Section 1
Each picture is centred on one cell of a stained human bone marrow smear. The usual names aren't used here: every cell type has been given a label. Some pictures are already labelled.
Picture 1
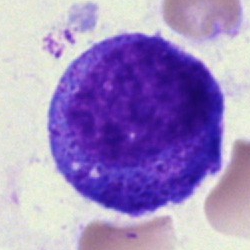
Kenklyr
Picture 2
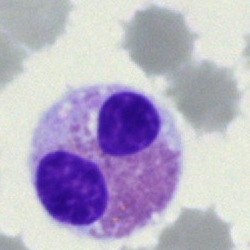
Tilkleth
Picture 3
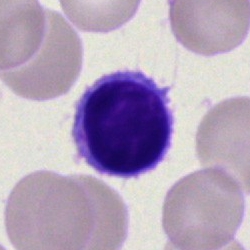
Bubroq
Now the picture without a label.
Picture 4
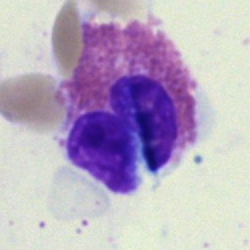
Tilkleth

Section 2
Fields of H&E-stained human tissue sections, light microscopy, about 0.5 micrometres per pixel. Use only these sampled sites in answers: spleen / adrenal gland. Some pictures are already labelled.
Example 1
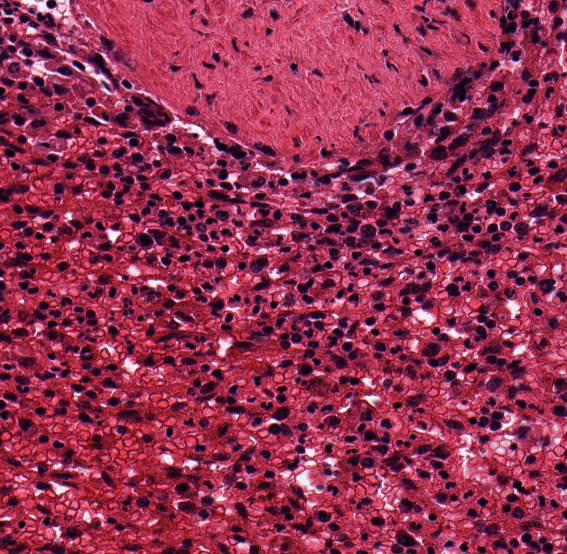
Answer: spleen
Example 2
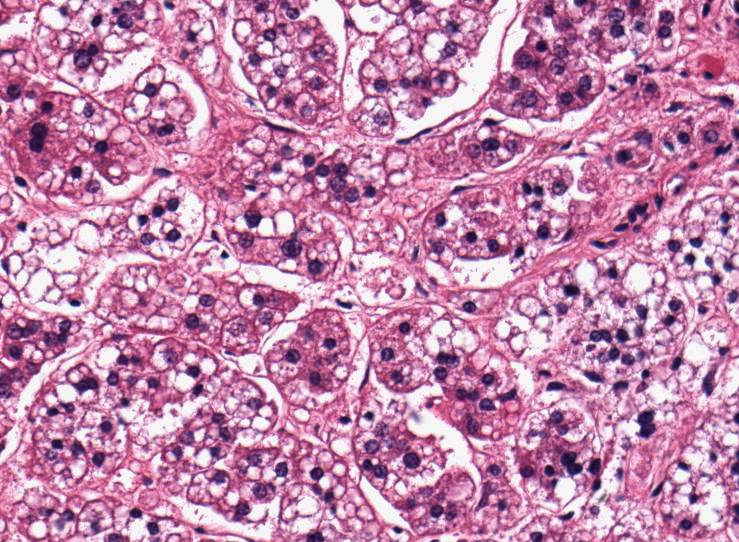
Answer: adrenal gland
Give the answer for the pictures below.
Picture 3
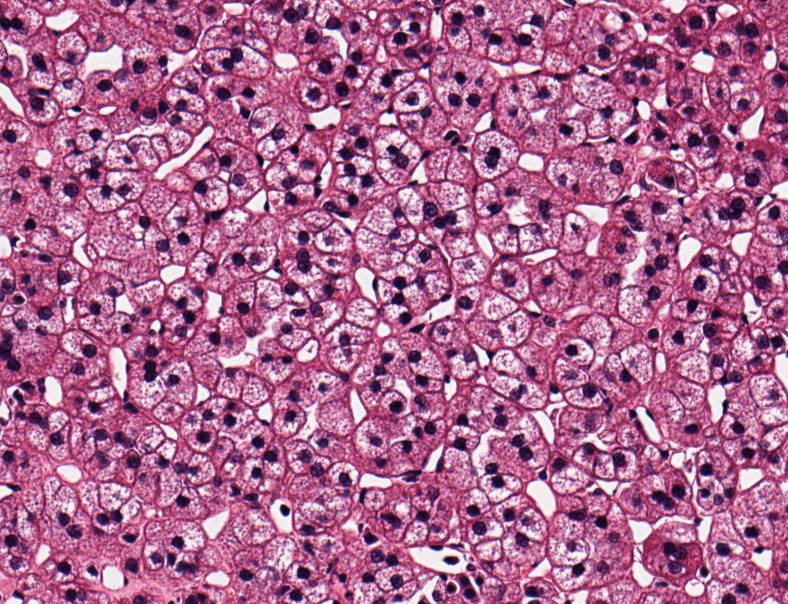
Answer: adrenal gland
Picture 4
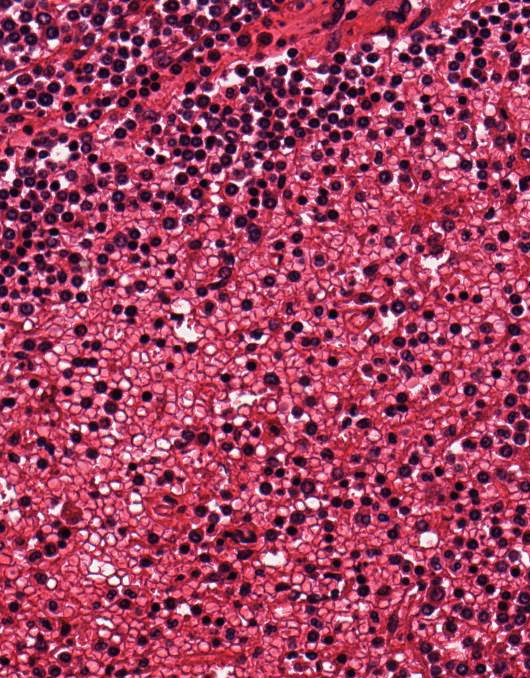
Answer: spleen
